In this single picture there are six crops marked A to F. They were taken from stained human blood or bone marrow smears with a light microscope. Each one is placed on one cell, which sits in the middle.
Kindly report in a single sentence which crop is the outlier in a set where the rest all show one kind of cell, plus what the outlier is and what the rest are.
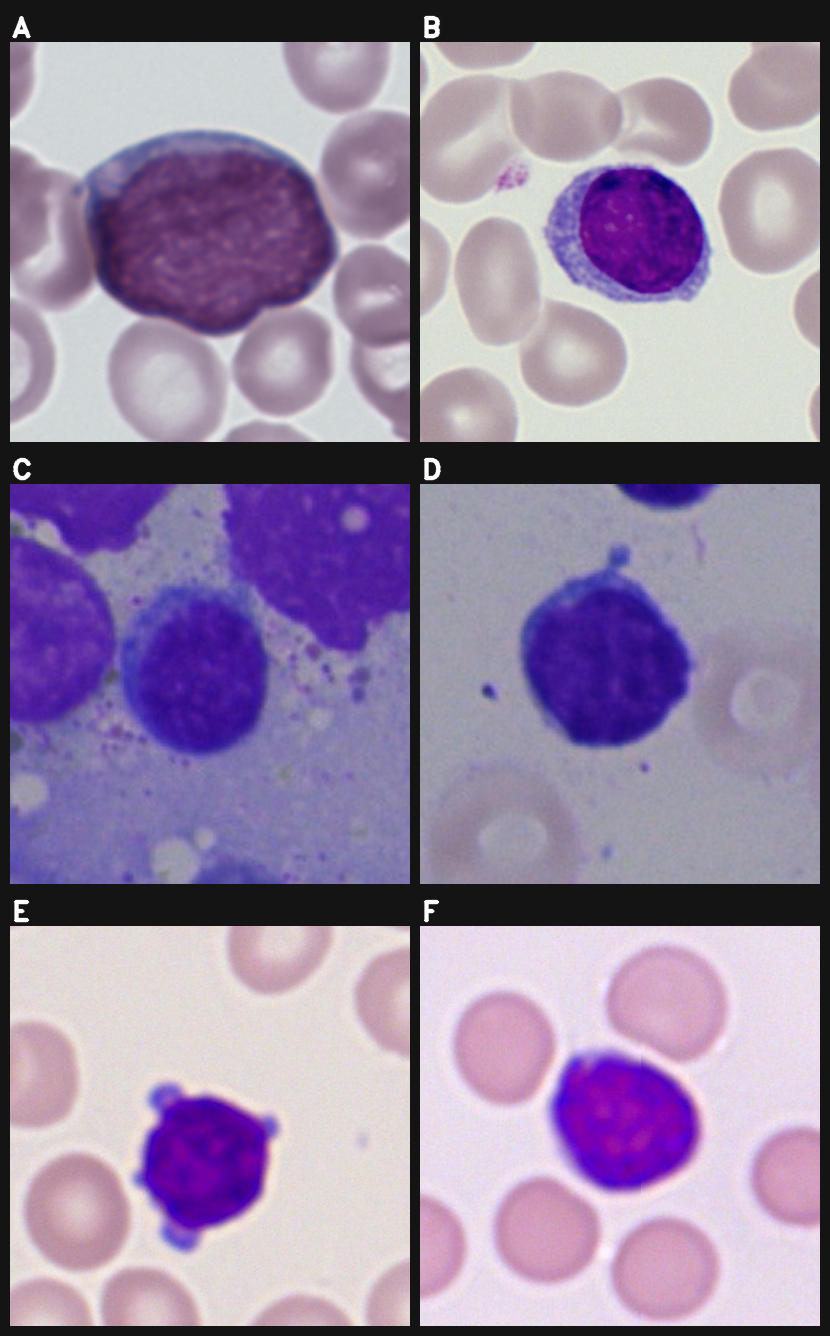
Crop A stands apart as a blast, whereas the remaining crops all show lymphocytes.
